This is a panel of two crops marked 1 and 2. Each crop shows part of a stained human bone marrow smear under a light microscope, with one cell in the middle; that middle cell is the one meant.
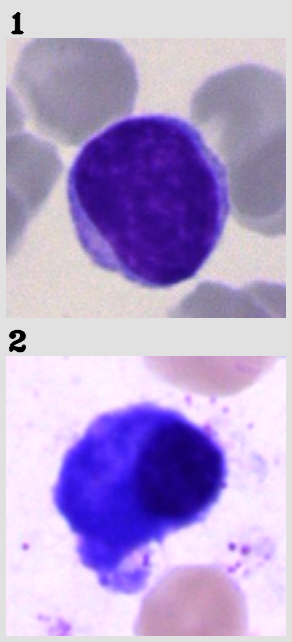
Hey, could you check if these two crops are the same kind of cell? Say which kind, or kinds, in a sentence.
No, a lymphocyte lies at the centre of crop 1, and a plasma cell lies at the centre of crop 2.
